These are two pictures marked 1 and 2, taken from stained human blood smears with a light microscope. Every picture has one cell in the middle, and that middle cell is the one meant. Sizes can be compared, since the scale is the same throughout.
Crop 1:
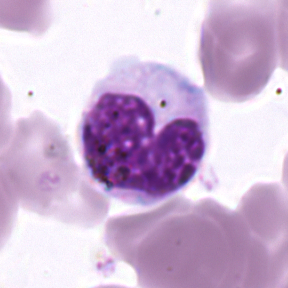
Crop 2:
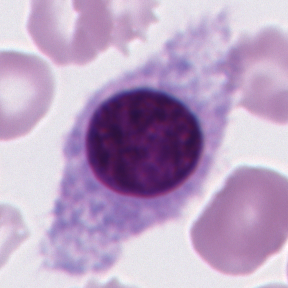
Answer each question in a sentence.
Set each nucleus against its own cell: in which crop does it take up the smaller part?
In crop 2 the nucleus takes up the smaller part of its cell.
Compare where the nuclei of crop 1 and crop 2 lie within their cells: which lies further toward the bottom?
The nucleus in crop 1 lies further toward the bottom of its cell.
